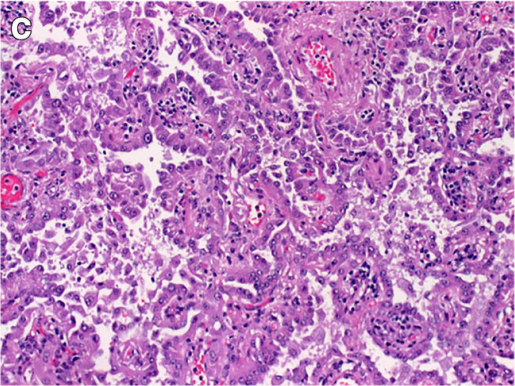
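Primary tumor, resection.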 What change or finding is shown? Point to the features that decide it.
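Atypical cuboidal to columnar cells line thin septa. The septa with small vessels keep an alveolus-like framework. Open air-space-like lumens lie between the lined septa. The answer: Lepidic adenocarcinoma.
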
